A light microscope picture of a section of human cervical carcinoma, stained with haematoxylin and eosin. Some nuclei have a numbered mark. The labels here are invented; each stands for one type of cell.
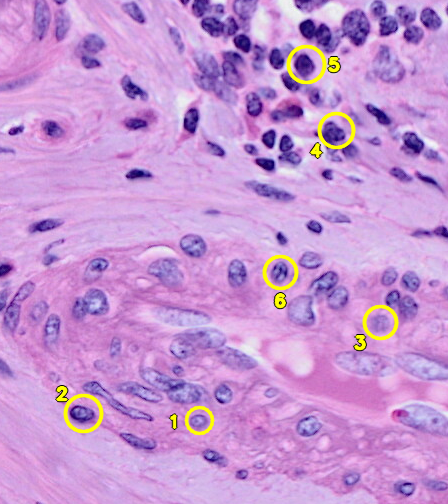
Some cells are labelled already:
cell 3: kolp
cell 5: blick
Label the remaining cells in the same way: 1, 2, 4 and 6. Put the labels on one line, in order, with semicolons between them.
kolp; kolp; blick; kolp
